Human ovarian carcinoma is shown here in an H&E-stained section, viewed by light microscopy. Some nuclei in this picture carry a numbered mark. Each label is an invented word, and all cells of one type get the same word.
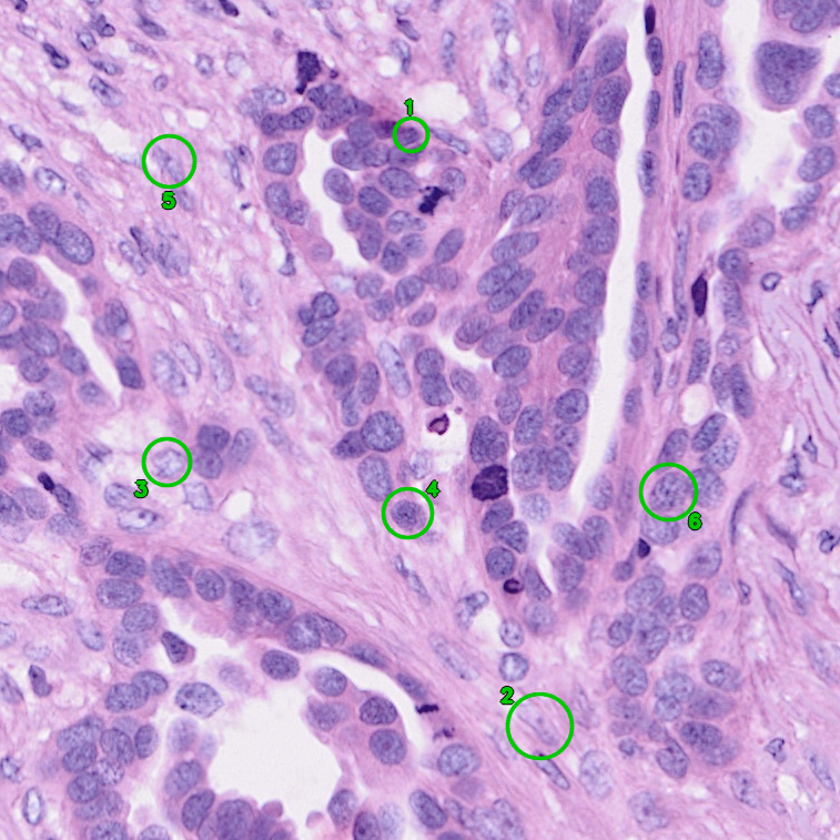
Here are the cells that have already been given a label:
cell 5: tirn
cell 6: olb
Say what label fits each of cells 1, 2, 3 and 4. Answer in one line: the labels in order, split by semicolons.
olb; tirn; tirn; olb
